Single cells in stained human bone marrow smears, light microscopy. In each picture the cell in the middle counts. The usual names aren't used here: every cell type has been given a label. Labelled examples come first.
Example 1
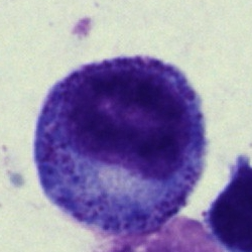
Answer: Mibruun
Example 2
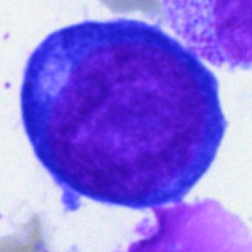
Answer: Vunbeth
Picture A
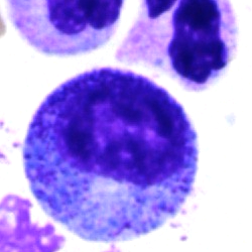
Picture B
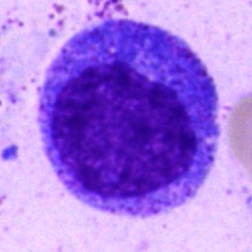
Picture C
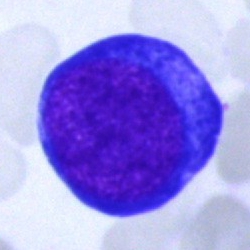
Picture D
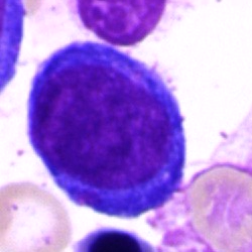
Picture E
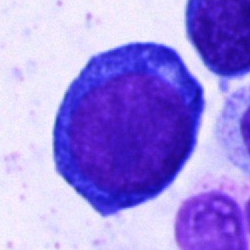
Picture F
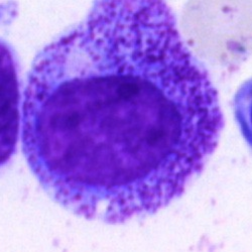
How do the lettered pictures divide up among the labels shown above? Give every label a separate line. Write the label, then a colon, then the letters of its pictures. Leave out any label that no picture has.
Mibruun: A, B, F
Vunbeth: C, D, E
